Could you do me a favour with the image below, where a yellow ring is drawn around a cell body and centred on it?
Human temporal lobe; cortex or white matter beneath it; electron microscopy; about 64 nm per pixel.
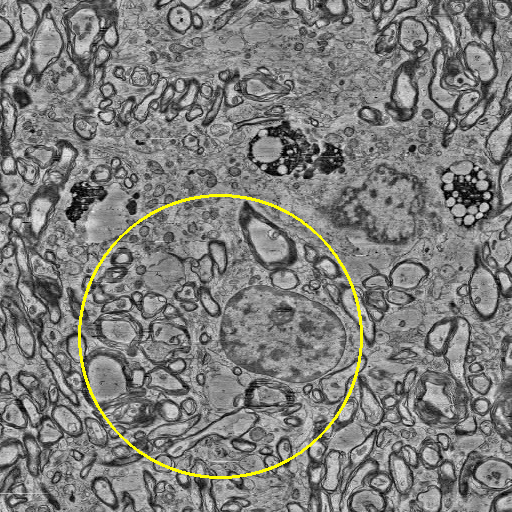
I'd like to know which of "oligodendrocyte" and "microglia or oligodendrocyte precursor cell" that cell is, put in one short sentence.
The cell at the ring's centre is a microglial cell or oligodendrocyte precursor cell.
